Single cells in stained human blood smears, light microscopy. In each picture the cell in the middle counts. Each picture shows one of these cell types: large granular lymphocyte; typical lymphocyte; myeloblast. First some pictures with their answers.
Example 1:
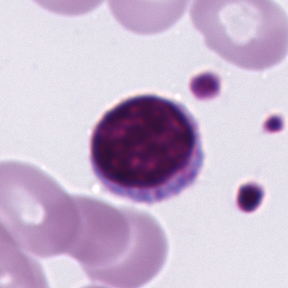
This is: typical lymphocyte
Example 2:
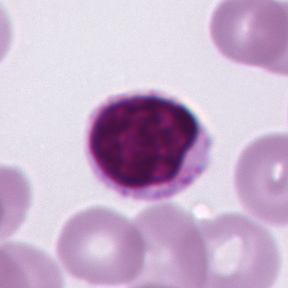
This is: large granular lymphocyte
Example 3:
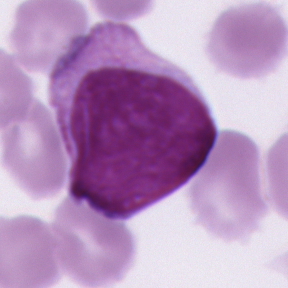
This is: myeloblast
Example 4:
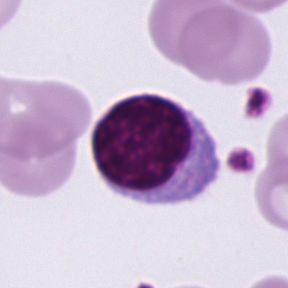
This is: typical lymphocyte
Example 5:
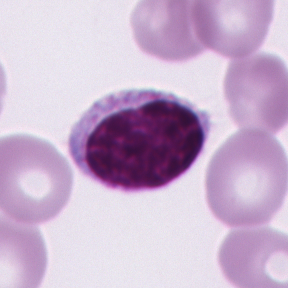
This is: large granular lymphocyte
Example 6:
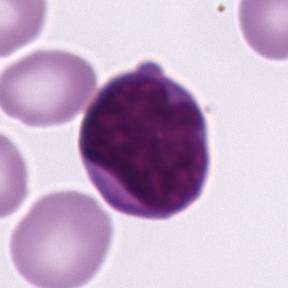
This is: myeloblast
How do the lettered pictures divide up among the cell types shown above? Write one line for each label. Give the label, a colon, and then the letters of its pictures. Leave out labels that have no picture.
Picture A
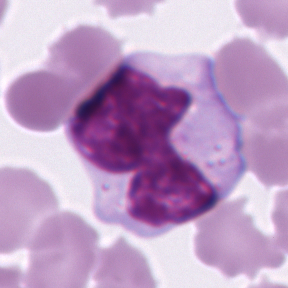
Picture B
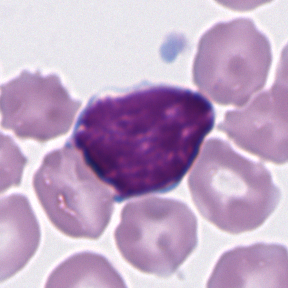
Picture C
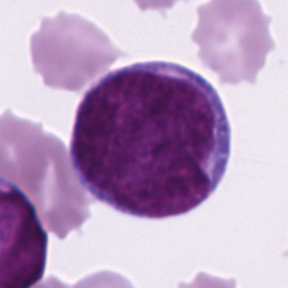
large granular lymphocyte: A
typical lymphocyte: B
myeloblast: C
